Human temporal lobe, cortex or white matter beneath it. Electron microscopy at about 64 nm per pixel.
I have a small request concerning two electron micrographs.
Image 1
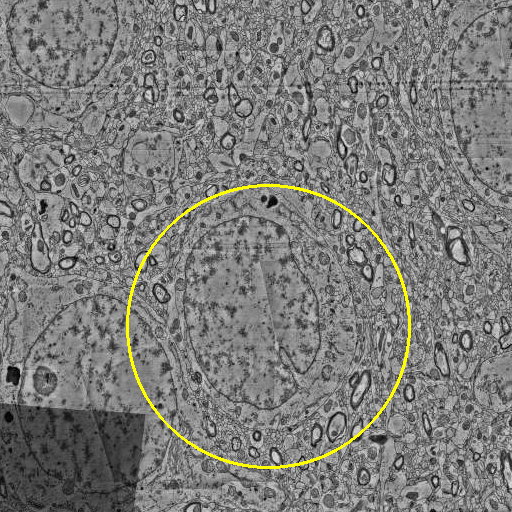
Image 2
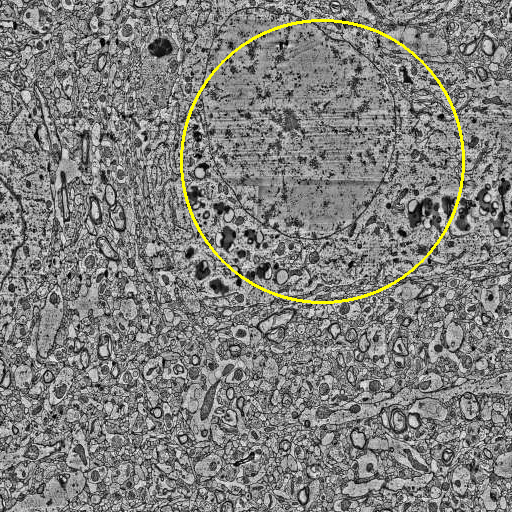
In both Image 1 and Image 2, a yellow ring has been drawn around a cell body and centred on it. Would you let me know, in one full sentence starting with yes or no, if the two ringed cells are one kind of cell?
Yes, the cells ringed in Image 1 and Image 2 are one kind of cell.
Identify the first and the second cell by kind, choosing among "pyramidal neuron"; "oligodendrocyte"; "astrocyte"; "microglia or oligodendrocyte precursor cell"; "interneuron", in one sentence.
Both the first and the second picture show a pyramidal neuron in the ring.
